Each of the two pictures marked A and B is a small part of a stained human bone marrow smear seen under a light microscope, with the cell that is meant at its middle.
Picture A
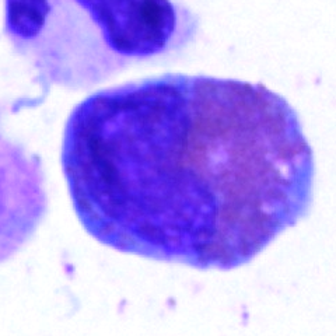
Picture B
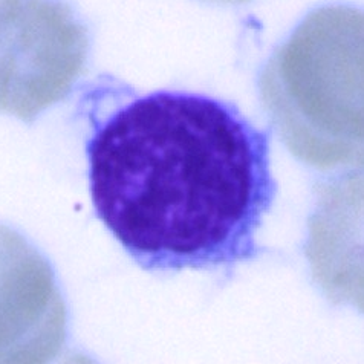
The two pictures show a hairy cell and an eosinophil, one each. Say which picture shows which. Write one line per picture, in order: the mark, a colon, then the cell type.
A: eosinophil
B: hairy cell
